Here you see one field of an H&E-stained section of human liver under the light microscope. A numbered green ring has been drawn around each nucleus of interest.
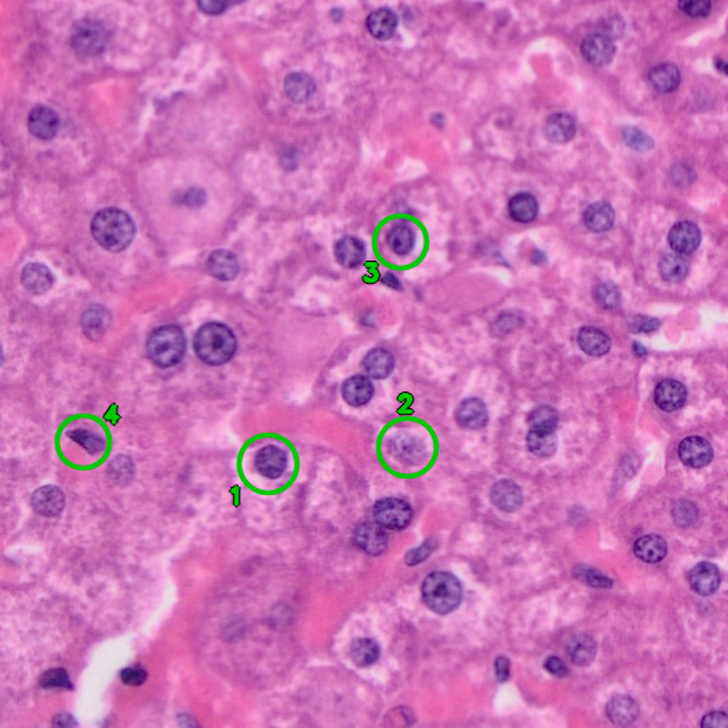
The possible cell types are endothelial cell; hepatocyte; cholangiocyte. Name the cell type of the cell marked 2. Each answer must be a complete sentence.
Cell 2 in the field is a hepatocyte.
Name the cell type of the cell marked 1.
The cell identified by the number 1 is a hepatocyte.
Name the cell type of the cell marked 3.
The cell assigned the number 3 is a hepatocyte.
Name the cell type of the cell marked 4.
The numbered cell 4 in this field is an endothelial cell.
